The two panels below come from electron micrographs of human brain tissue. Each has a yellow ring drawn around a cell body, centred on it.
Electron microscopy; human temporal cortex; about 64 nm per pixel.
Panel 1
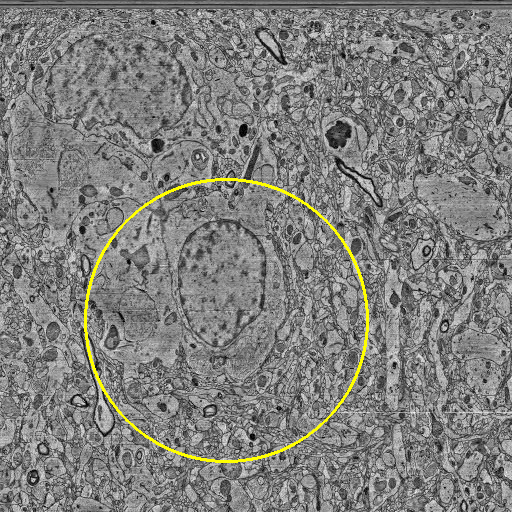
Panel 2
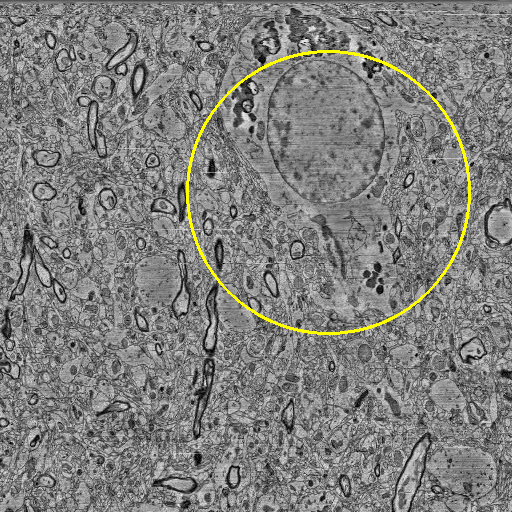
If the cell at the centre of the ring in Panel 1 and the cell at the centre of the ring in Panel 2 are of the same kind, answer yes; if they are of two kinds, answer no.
yes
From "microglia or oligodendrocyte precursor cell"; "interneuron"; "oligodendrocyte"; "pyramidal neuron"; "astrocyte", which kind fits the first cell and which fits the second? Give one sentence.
Both pictures show an astrocyte at the centre of the ring.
